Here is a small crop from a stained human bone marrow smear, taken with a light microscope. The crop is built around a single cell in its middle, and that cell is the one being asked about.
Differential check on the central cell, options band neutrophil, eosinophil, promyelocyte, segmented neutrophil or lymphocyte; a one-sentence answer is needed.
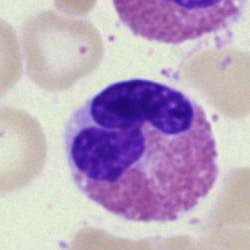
The central cell shown in this smear crop is an eosinophil.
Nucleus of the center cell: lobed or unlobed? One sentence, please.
Look at the nucleus and you will find it divided into two or more lobes.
